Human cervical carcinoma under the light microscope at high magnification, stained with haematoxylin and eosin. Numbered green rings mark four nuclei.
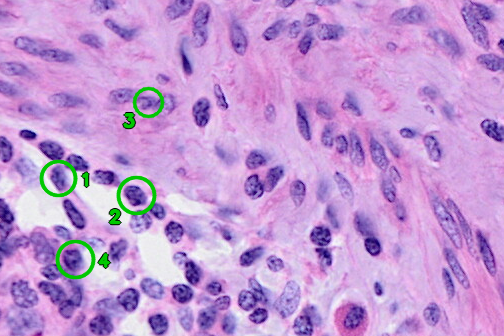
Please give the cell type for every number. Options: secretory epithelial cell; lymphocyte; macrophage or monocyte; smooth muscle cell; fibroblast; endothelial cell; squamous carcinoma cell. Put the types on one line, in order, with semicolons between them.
lymphocyte; lymphocyte; smooth muscle cell; lymphocyte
